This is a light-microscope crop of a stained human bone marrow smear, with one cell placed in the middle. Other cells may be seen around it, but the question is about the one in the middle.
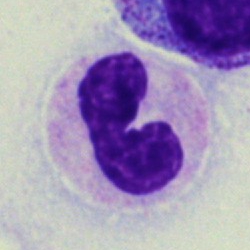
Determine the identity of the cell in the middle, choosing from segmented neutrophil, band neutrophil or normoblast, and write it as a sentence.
The cell in the middle of the field of view is a band neutrophil.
